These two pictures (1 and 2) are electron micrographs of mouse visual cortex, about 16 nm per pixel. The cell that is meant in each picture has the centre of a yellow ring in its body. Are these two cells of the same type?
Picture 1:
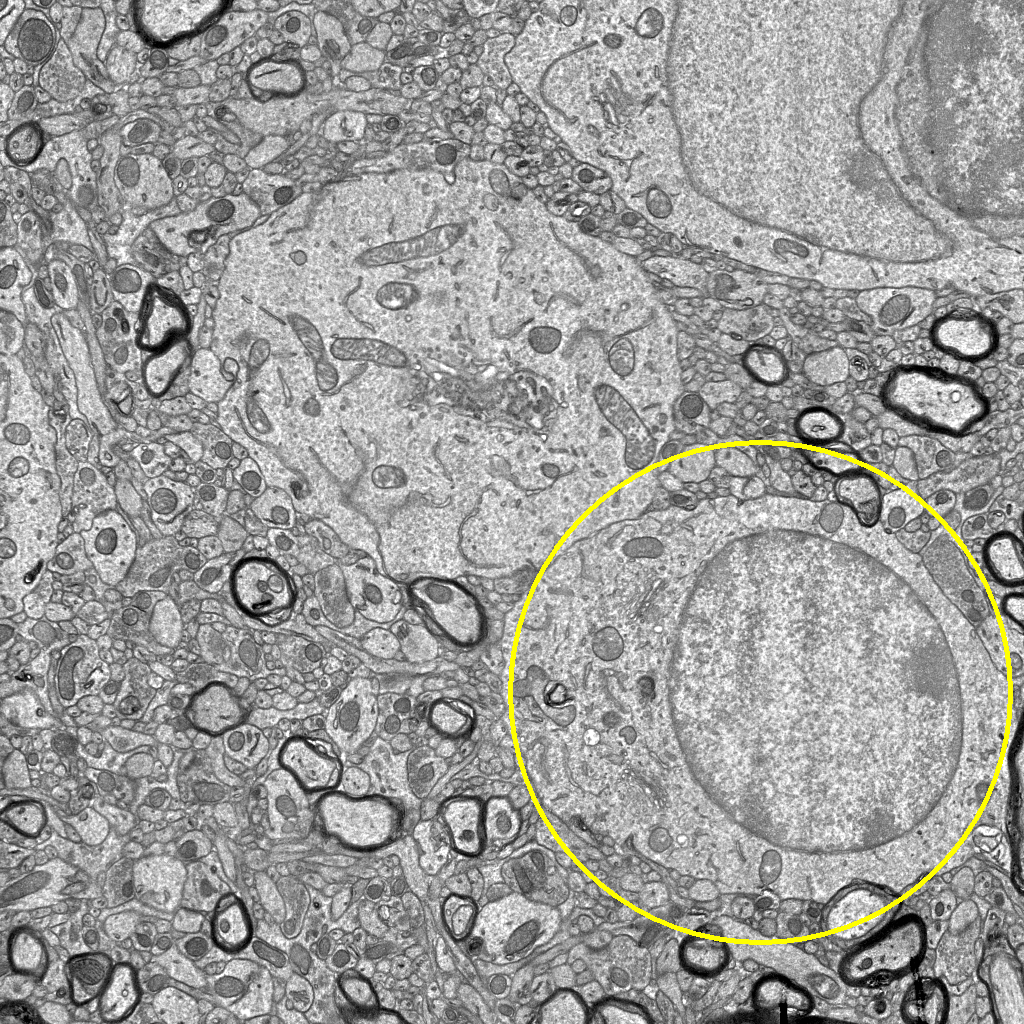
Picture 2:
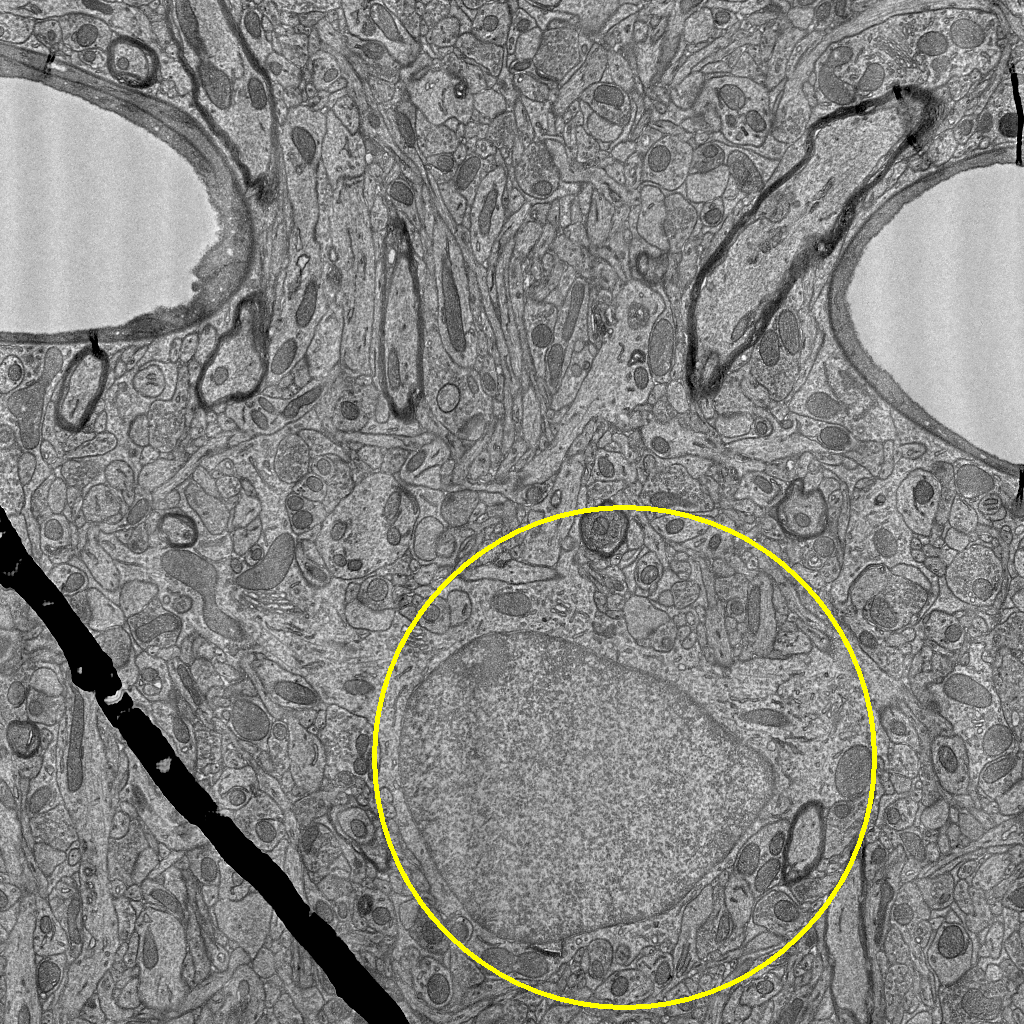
No; the cell in picture 1 is an oligodendrocyte, while the one in picture 2 is an astrocyte.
